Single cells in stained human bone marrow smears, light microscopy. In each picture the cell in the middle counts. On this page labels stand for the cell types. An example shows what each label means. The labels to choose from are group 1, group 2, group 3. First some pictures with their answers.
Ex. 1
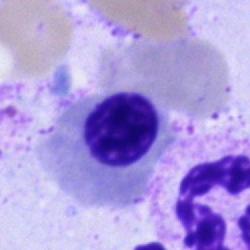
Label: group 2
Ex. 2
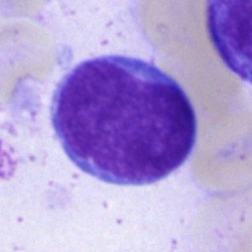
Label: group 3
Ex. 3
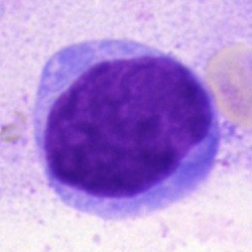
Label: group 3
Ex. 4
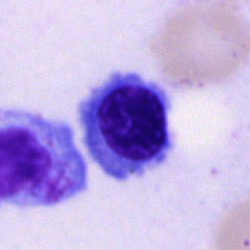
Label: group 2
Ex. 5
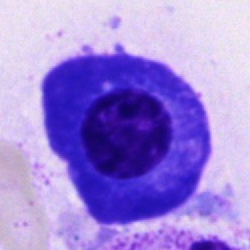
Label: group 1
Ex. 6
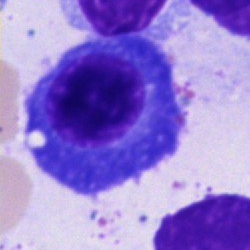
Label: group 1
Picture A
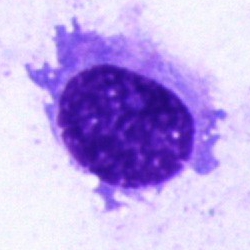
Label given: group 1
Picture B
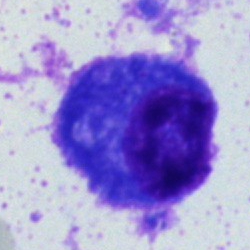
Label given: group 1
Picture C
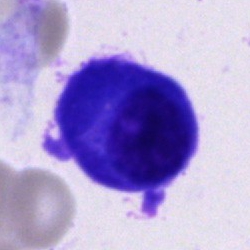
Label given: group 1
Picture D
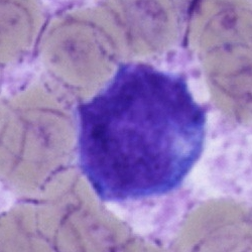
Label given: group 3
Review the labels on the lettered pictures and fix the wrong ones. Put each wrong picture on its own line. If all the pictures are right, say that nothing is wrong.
Nothing to fix; every label fits.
